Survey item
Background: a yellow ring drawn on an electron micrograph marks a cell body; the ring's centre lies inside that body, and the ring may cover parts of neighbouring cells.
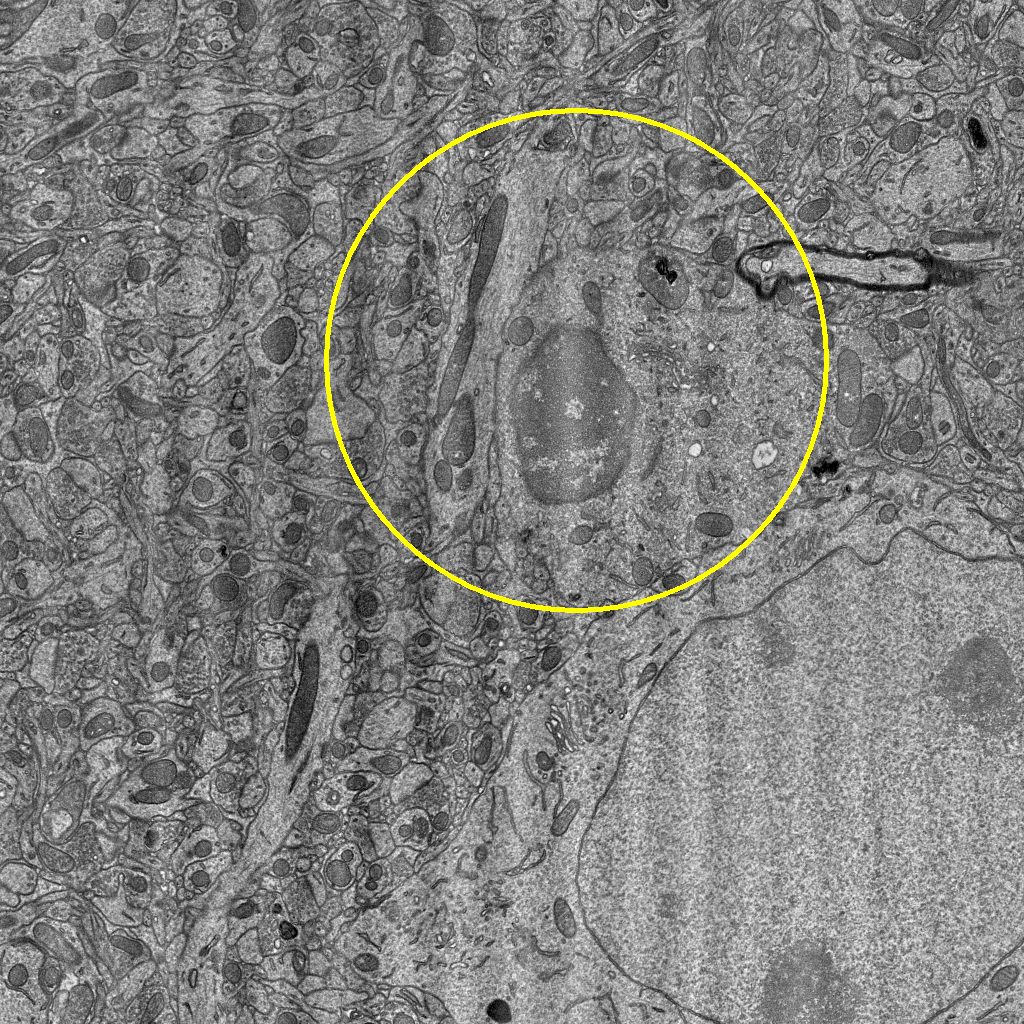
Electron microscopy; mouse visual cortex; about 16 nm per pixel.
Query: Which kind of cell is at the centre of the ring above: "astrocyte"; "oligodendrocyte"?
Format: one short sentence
The cell in the middle of the ring is an oligodendrocyte.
